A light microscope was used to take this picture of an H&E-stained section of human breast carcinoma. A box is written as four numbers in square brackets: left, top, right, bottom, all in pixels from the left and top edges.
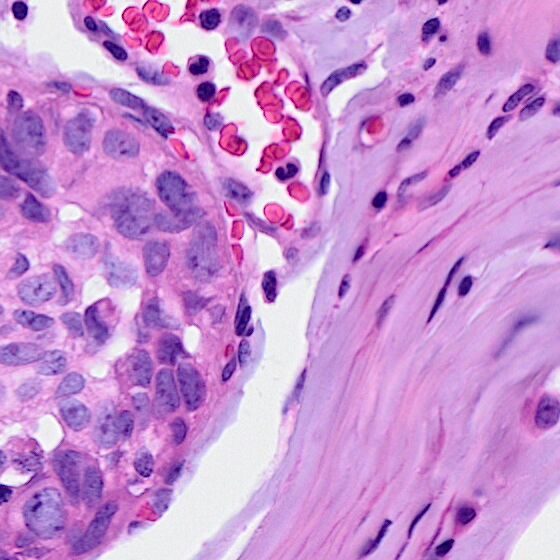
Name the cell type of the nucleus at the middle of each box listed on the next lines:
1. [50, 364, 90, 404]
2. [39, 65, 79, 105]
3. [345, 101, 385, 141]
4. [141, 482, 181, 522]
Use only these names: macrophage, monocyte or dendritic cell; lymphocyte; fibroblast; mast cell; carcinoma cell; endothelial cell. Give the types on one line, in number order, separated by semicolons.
carcinoma cell; endothelial cell; endothelial cell; endothelial cell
